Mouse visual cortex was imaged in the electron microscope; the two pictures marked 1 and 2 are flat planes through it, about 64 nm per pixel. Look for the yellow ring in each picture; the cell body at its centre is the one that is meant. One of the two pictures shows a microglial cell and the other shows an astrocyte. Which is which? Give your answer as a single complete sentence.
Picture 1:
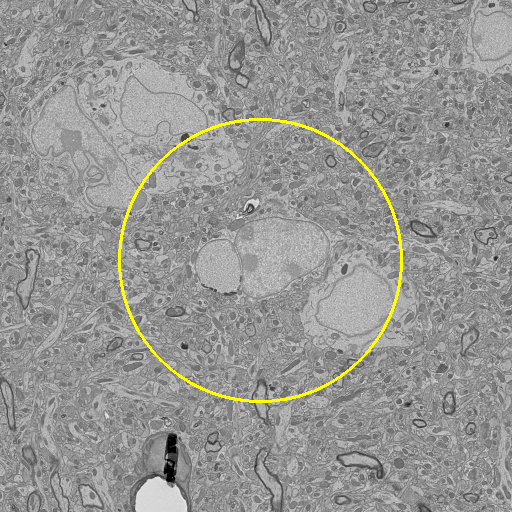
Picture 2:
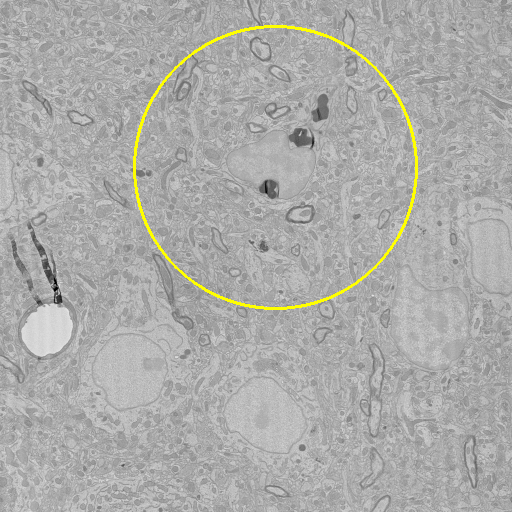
Picture 1 is of an astrocyte, and picture 2 is of a microglial cell.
